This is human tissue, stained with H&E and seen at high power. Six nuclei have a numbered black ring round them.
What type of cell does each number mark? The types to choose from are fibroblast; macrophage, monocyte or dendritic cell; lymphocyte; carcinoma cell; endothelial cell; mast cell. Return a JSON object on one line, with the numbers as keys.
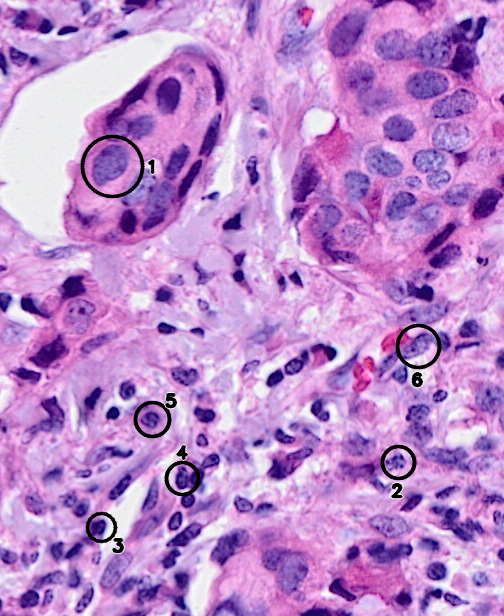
{"1": "carcinoma cell", "2": "lymphocyte", "3": "lymphocyte", "4": "lymphocyte", "5": "mast cell", "6": "endothelial cell"}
